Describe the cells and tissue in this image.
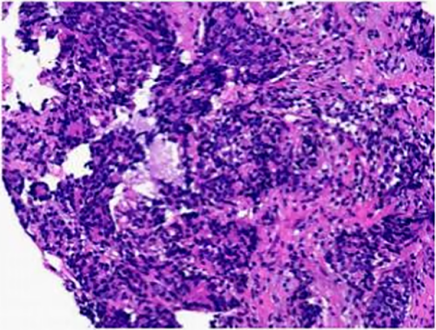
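A small biopsy fragment crowded with cells that form irregular sheets and nests, their dark purple nuclei packed closely together. Strands and bands of pink fibrous stroma run between the cell clusters, and a few clear spaces and pale areas break up the fragment.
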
